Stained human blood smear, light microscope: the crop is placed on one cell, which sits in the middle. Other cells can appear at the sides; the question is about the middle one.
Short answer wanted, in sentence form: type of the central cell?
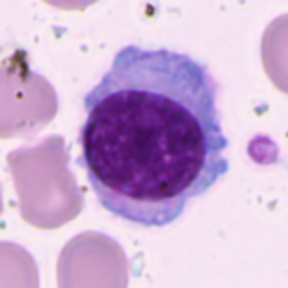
In this crop, the cell at the very middle is a plasma cell.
